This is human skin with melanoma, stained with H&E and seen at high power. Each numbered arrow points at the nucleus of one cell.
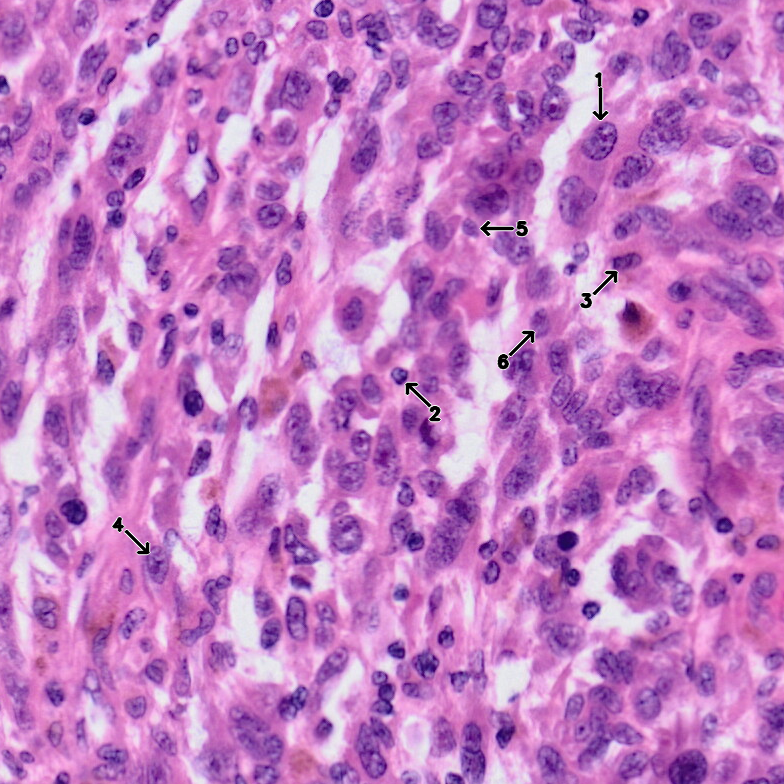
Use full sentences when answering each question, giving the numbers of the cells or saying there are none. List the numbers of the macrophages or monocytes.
Among the marked cells, cell number 3 alone is a macrophage or monocyte.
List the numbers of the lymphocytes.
It is cell 2, and no other numbered cell, that is a lymphocyte.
